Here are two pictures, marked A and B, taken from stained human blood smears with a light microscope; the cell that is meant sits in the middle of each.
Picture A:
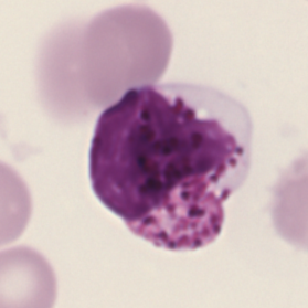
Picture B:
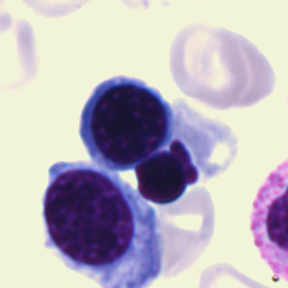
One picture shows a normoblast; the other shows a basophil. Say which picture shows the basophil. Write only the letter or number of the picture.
A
